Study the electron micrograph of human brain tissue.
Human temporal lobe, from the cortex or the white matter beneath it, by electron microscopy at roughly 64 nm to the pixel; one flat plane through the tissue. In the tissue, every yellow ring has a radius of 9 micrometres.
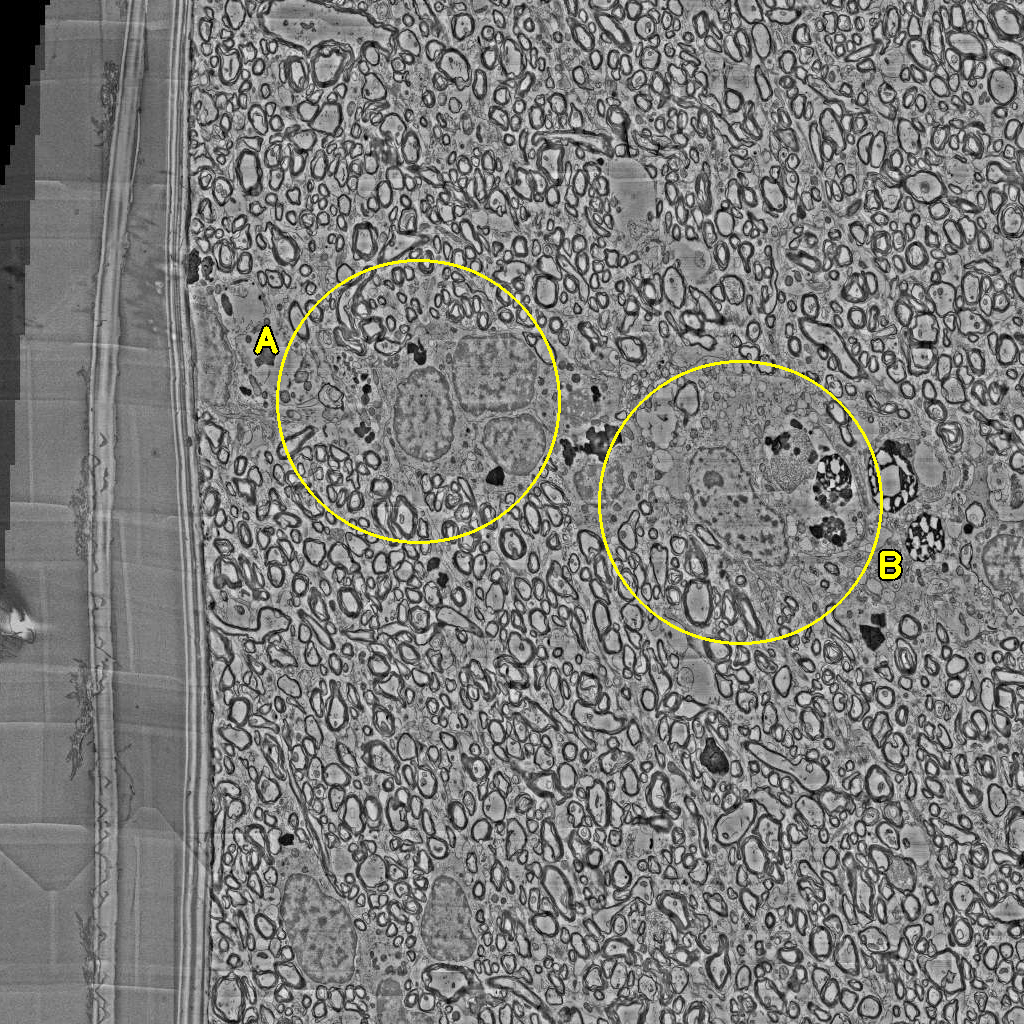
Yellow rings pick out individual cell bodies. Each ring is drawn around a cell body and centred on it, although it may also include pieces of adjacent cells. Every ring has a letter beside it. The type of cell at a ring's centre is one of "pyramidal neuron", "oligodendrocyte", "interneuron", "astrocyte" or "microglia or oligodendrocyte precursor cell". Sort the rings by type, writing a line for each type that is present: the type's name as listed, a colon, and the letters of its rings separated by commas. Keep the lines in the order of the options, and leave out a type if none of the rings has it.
oligodendrocyte: A
astrocyte: B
